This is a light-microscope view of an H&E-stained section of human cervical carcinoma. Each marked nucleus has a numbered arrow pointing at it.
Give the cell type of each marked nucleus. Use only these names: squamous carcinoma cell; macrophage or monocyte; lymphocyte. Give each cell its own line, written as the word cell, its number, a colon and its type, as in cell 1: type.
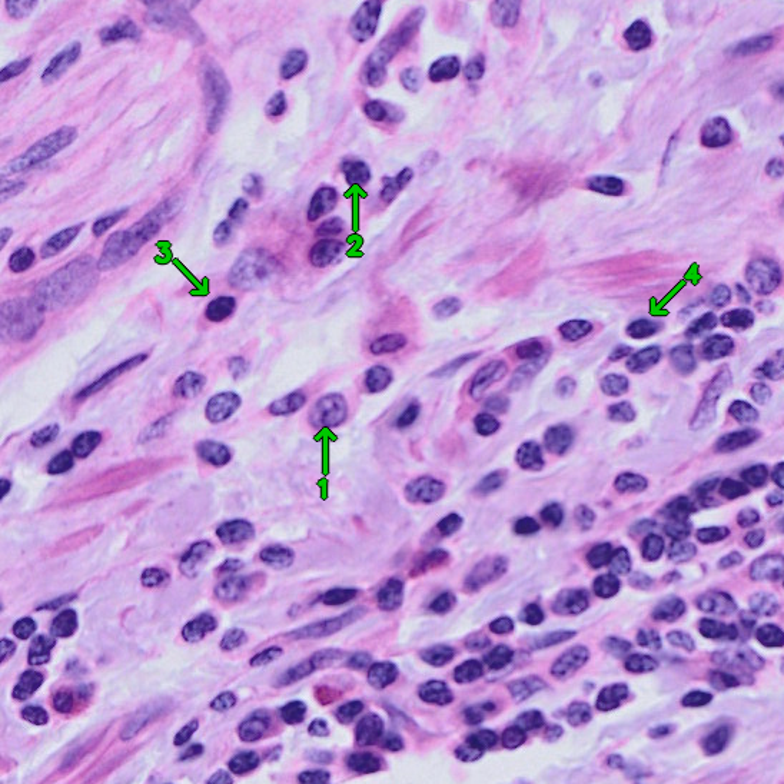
cell 1: macrophage or monocyte
cell 2: lymphocyte
cell 3: lymphocyte
cell 4: lymphocyte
